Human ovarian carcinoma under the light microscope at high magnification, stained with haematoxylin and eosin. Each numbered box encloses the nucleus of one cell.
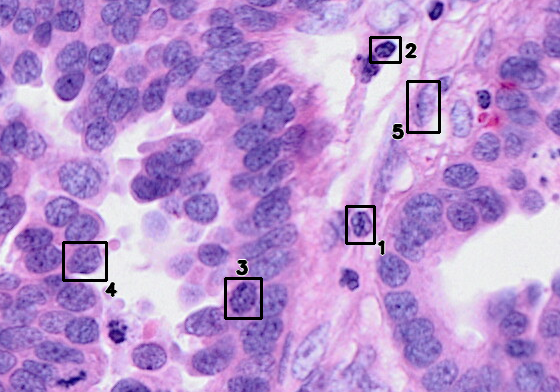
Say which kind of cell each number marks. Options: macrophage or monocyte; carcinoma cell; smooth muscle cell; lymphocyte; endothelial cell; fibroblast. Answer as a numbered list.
1. lymphocyte
2. lymphocyte
3. carcinoma cell
4. carcinoma cell
5. fibroblast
